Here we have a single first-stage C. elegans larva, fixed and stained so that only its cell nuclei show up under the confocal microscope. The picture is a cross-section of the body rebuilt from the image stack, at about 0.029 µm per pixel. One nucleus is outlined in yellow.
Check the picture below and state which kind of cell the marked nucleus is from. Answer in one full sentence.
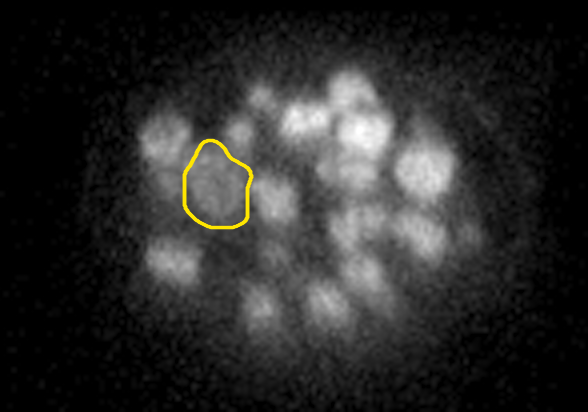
It is the nucleus of a cell of the excretory system.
